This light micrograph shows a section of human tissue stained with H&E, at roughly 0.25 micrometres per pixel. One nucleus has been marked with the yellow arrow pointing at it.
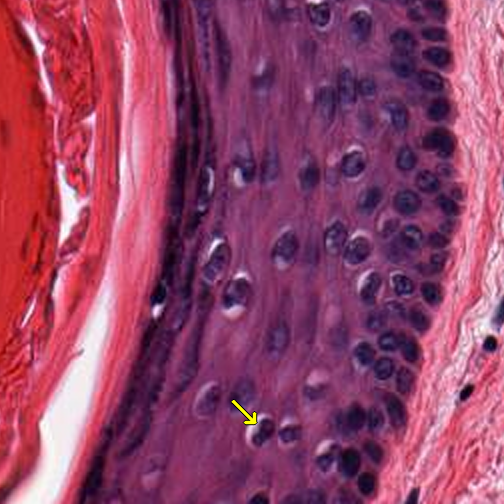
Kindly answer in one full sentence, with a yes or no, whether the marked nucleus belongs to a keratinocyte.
Yes, the cell to which the marked nucleus belongs is a keratinocyte.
